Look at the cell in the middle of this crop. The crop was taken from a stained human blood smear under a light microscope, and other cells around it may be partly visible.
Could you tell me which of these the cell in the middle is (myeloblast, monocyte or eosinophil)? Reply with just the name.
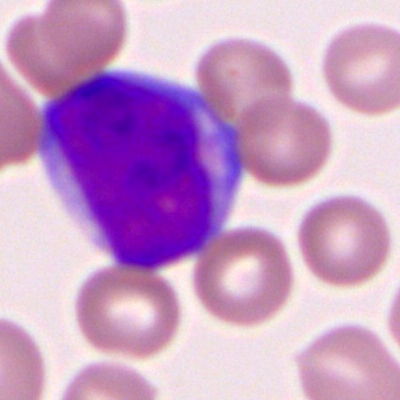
myeloblast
